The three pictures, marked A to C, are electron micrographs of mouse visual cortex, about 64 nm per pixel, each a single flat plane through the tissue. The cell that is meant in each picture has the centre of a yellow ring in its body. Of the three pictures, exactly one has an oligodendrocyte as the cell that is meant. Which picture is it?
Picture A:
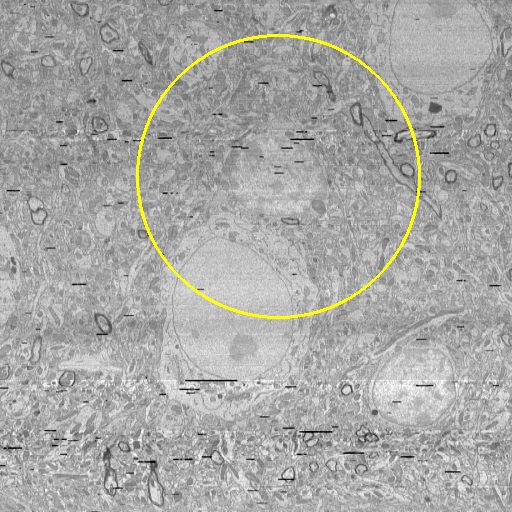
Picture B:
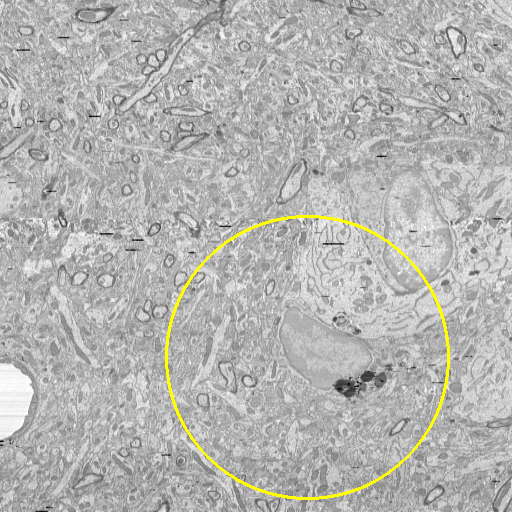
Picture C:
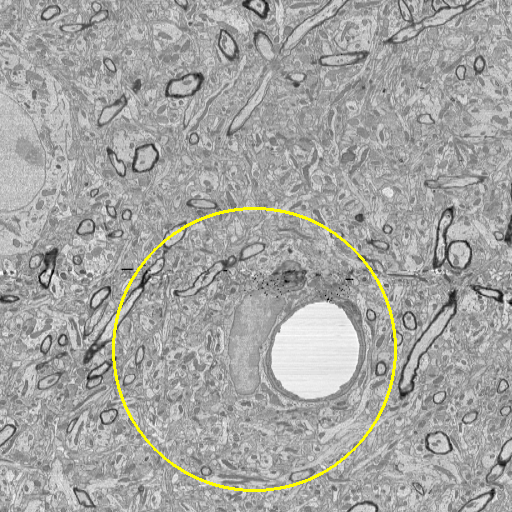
It is picture A that shows the oligodendrocyte.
